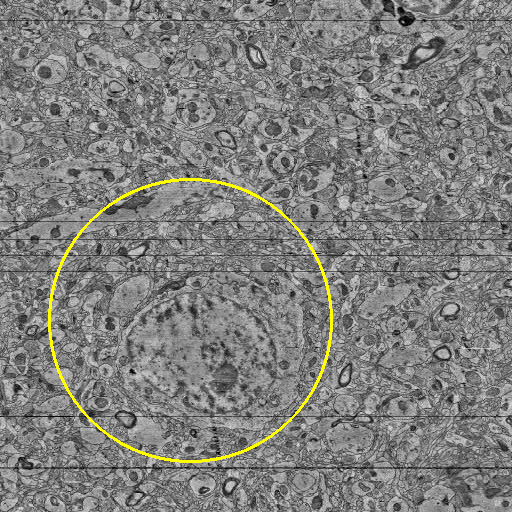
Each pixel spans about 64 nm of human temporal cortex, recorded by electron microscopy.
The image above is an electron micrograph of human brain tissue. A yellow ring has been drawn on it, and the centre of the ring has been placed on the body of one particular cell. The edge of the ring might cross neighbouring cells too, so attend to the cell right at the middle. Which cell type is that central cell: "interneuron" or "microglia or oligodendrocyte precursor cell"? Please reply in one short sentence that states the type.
The central cell in the ring is an interneuron.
